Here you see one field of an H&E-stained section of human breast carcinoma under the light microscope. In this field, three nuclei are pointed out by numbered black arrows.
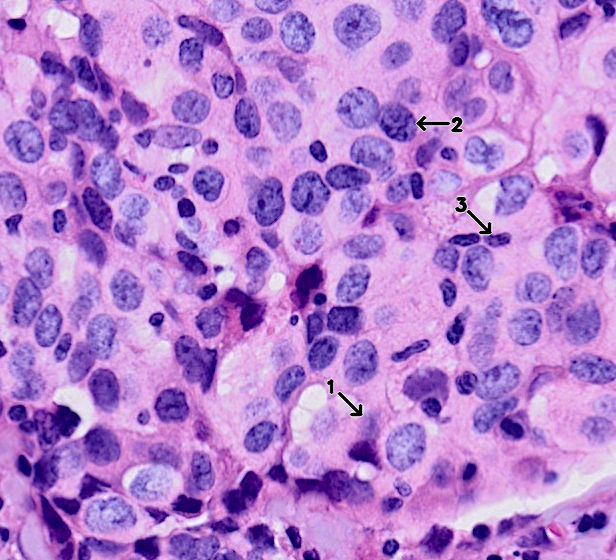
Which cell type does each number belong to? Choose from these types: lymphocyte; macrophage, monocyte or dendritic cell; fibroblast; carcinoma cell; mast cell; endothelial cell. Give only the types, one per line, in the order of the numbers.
carcinoma cell
carcinoma cell
lymphocyte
